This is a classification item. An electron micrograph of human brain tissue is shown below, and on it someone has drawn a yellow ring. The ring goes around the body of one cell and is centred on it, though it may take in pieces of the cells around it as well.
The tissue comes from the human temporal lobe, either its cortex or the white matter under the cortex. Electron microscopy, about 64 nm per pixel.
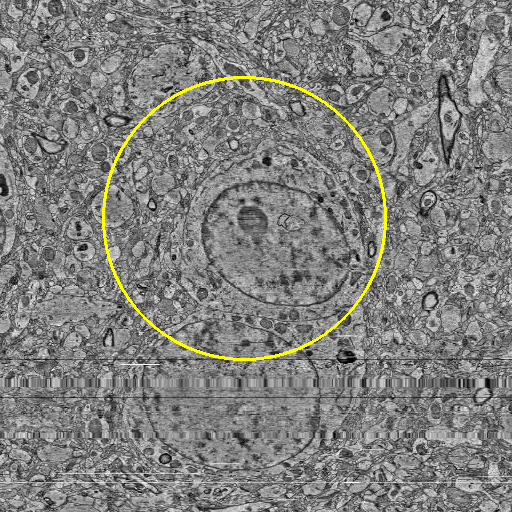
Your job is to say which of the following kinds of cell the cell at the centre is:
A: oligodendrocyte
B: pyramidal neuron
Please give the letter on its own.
B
